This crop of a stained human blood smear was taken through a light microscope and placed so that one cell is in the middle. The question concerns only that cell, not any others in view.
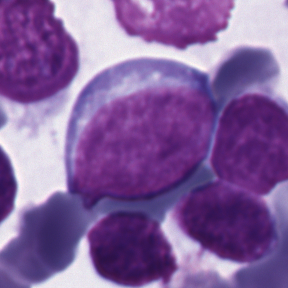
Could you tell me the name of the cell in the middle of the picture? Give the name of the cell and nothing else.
blast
